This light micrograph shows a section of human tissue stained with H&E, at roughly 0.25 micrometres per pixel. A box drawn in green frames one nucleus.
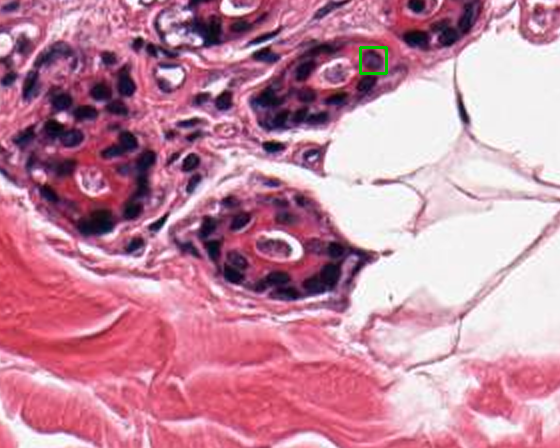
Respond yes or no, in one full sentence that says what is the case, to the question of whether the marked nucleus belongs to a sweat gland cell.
Yes, the marked nucleus is assigned to a sweat gland cell.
